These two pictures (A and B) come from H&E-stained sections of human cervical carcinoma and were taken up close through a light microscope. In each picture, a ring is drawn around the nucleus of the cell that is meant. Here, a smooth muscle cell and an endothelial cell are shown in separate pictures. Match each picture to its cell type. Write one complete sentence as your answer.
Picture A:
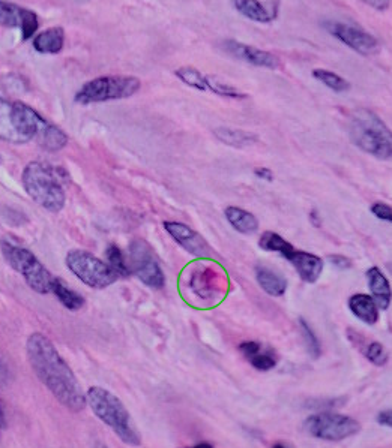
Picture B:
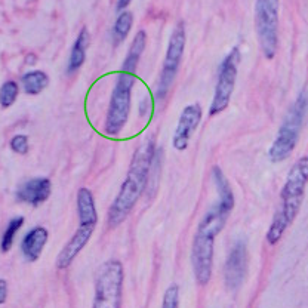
In picture A the cell is an endothelial cell; in picture B, a smooth muscle cell.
